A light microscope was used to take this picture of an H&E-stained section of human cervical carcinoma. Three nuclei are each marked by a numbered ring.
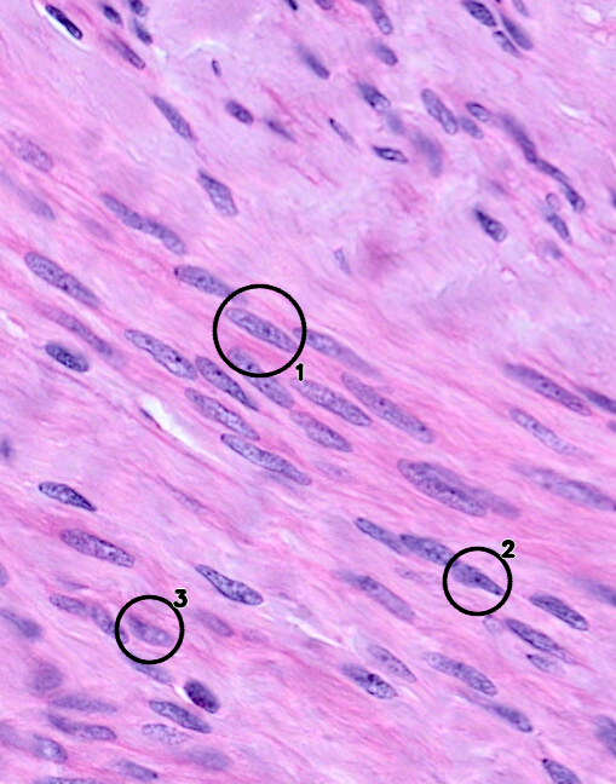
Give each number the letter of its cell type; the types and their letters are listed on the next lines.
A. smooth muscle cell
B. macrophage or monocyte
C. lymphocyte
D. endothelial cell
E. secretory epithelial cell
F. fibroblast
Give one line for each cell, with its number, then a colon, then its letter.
1: A
2: F
3: A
